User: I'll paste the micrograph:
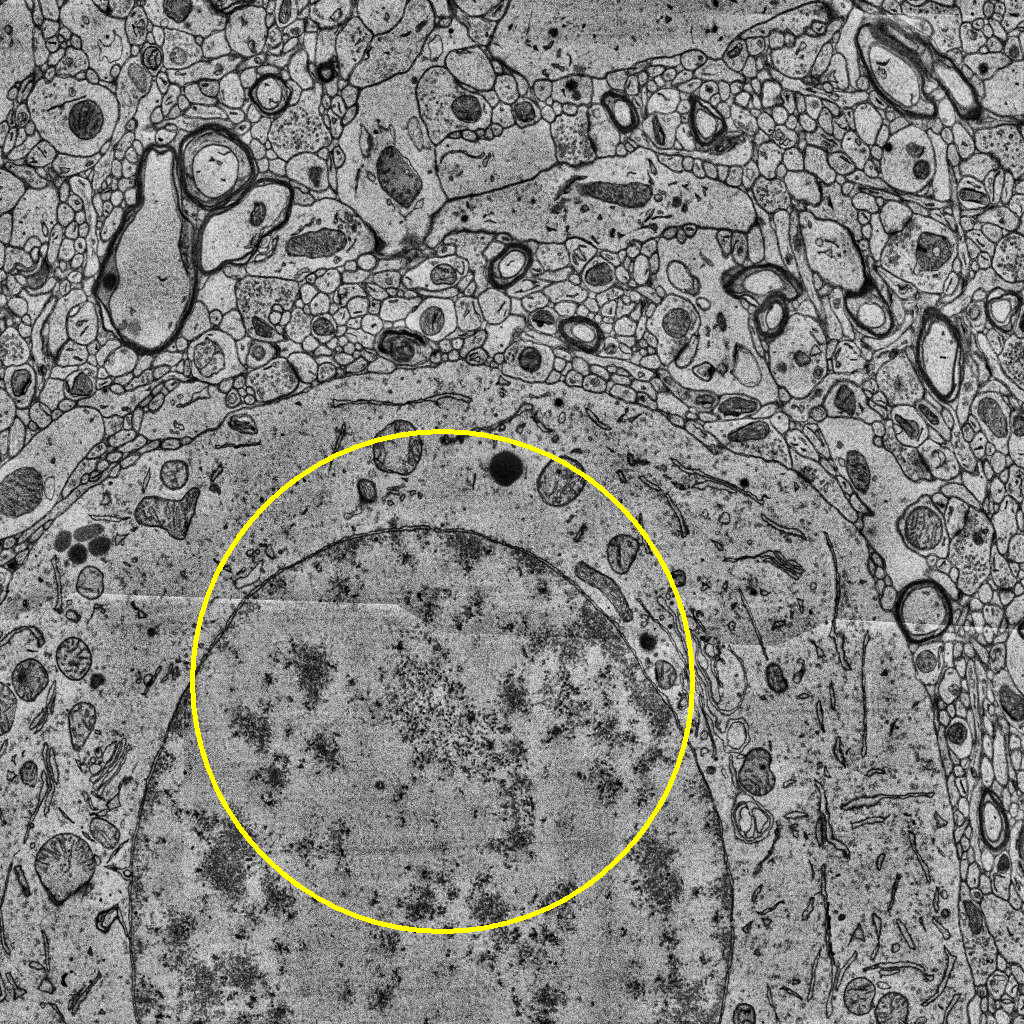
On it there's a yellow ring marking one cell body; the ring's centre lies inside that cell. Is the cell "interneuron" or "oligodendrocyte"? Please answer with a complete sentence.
The cell at the centre of the yellow ring is an interneuron.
